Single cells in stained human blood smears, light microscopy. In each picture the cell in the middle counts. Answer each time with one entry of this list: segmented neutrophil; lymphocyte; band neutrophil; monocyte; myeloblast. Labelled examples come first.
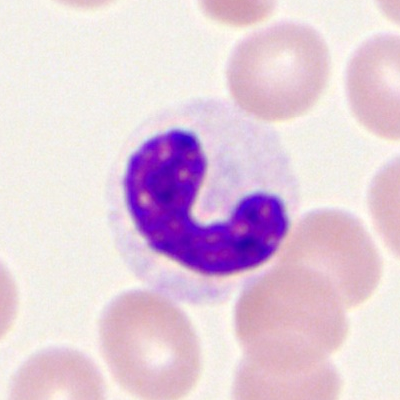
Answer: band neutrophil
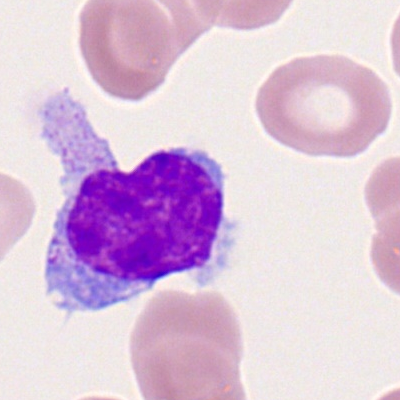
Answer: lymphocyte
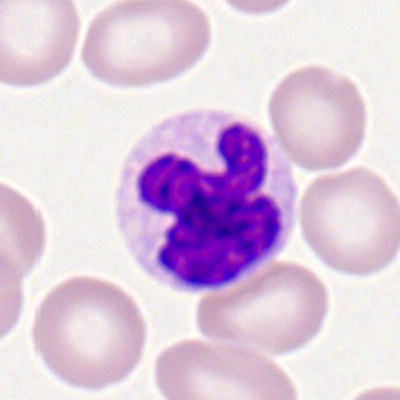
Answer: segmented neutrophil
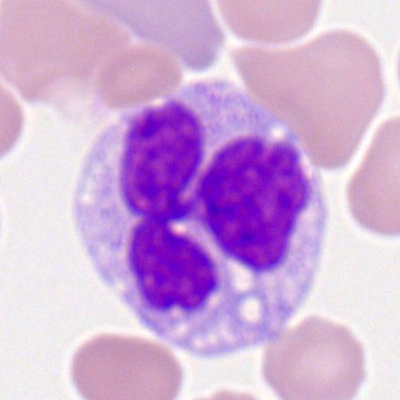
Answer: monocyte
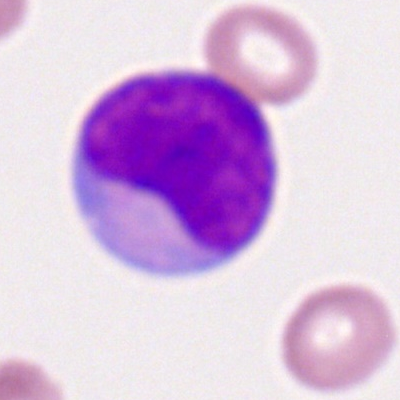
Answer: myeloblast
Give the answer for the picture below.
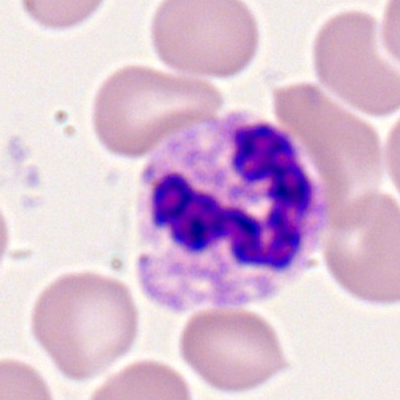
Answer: segmented neutrophil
